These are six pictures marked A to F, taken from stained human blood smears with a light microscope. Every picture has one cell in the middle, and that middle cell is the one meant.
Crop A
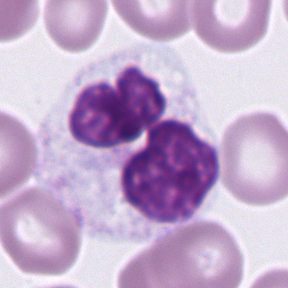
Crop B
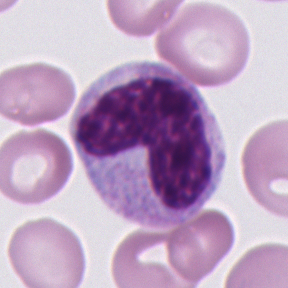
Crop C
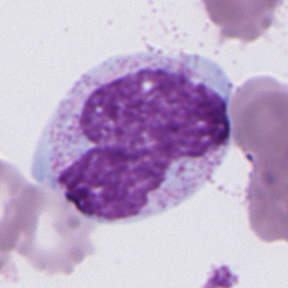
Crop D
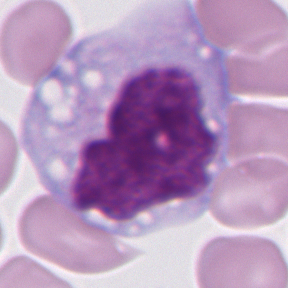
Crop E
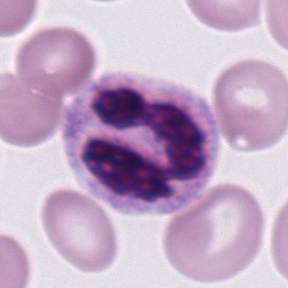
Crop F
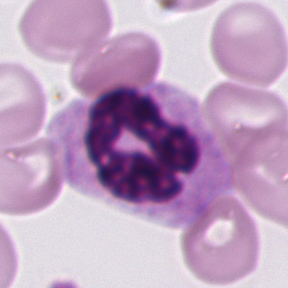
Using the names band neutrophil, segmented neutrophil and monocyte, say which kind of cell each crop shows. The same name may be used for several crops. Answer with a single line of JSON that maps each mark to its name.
{"A": "segmented neutrophil", "B": "band neutrophil", "C": "band neutrophil", "D": "monocyte", "E": "segmented neutrophil", "F": "segmented neutrophil"}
